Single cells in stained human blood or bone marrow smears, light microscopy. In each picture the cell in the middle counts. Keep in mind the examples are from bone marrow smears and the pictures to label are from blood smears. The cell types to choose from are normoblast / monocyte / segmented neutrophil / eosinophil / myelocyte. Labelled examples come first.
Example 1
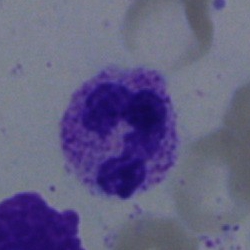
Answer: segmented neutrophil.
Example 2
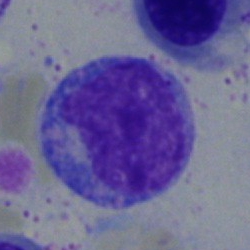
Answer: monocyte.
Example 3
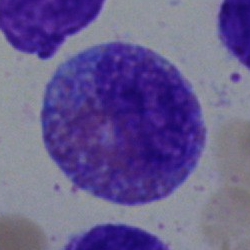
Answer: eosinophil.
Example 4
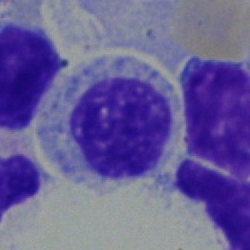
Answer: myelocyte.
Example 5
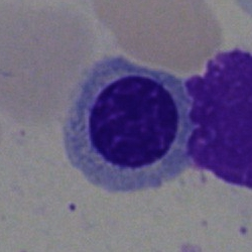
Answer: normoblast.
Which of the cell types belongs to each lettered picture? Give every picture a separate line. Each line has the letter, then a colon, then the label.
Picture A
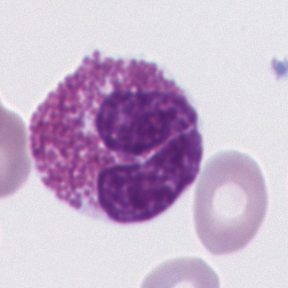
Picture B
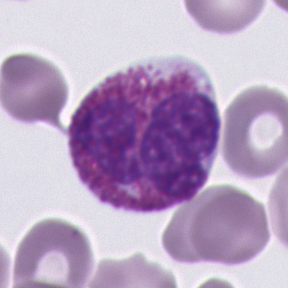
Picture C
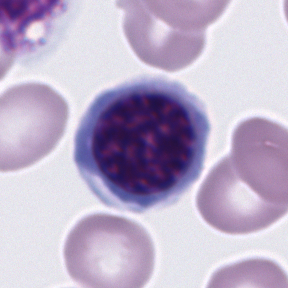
A: eosinophil.
B: eosinophil.
C: normoblast.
